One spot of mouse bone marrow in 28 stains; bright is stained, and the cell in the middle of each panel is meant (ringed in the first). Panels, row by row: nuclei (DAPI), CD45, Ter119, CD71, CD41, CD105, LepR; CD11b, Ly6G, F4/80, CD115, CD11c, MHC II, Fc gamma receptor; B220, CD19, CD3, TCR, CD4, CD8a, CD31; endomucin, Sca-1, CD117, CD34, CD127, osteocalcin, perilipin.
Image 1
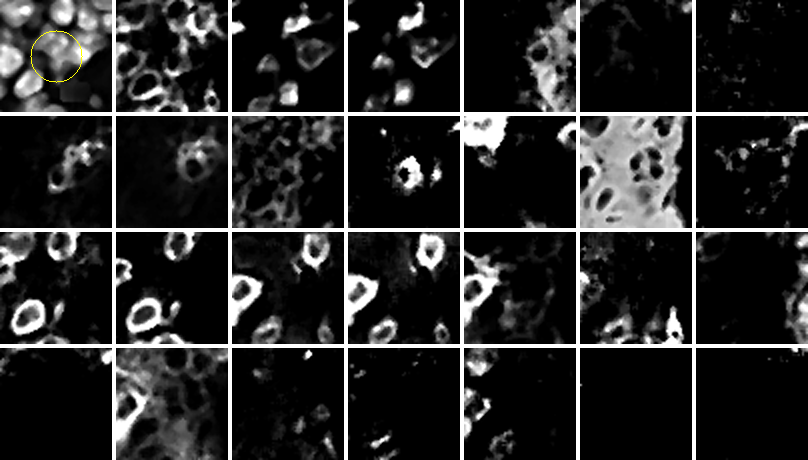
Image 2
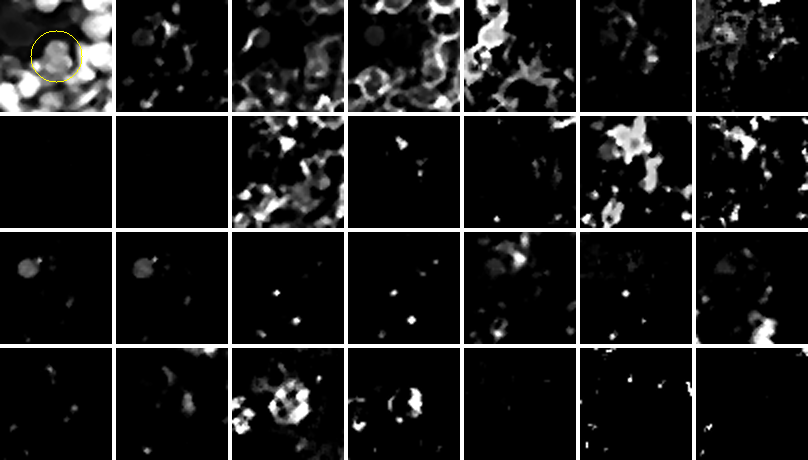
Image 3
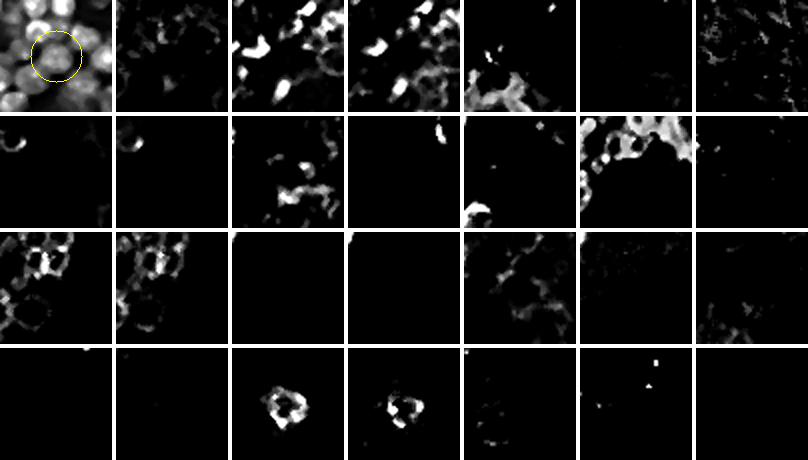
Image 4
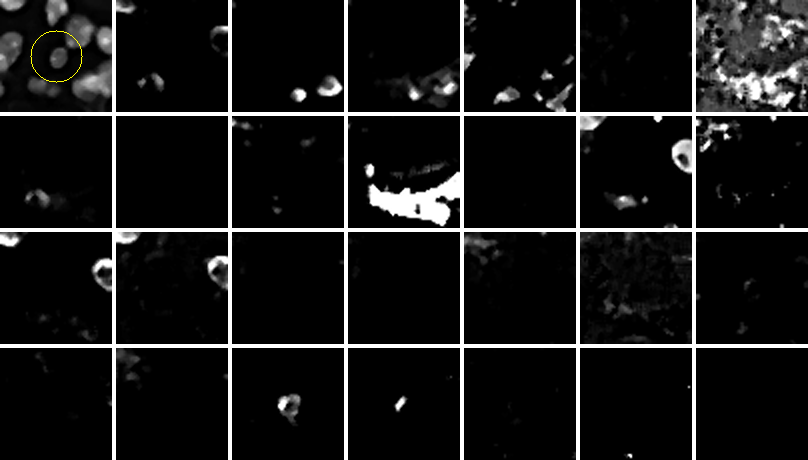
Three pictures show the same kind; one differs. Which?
Picture 1: a monocyte, while the others are common myeloid progenitors.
